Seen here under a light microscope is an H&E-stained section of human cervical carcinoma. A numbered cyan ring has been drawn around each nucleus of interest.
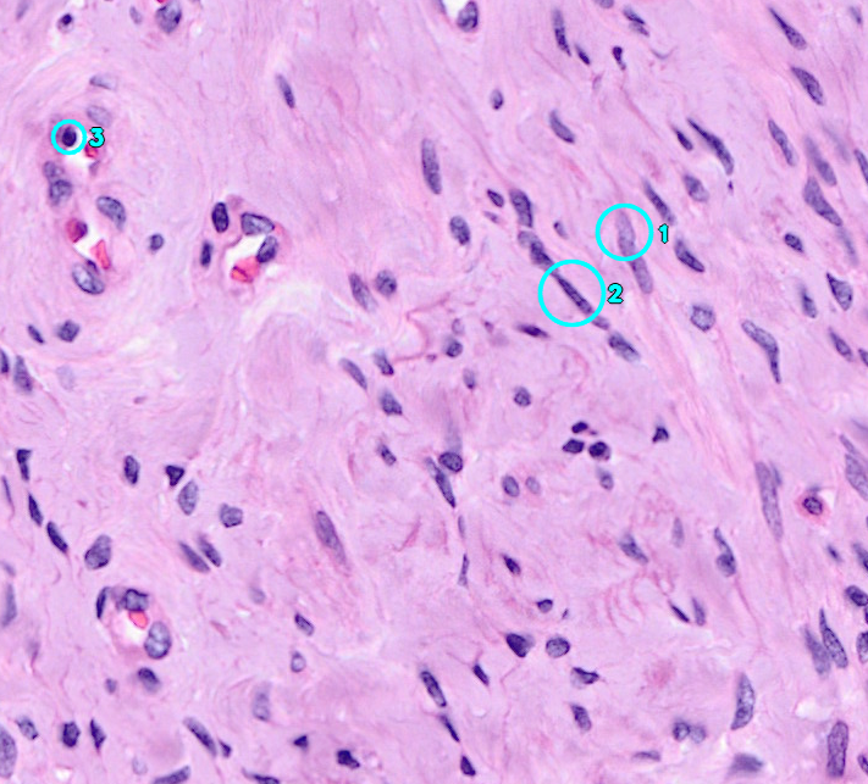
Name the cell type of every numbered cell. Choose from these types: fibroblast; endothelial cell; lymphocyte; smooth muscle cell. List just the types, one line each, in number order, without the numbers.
smooth muscle cell
fibroblast
endothelial cell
